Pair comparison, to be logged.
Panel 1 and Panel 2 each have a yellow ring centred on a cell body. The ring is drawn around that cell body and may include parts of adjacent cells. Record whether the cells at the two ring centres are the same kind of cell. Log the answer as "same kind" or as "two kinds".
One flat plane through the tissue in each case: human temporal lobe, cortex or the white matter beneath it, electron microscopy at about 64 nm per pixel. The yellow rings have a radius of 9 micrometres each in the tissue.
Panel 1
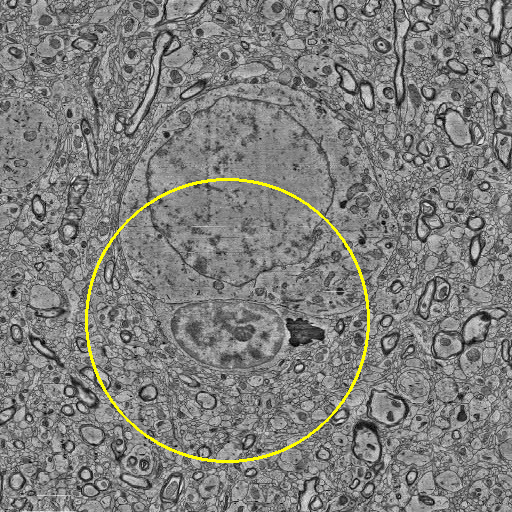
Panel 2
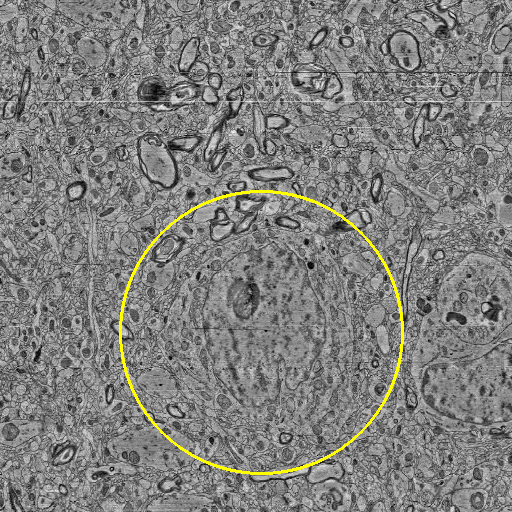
two kinds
